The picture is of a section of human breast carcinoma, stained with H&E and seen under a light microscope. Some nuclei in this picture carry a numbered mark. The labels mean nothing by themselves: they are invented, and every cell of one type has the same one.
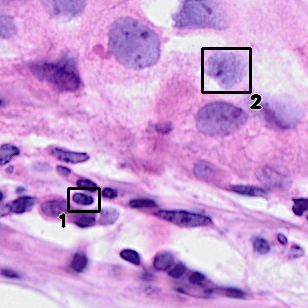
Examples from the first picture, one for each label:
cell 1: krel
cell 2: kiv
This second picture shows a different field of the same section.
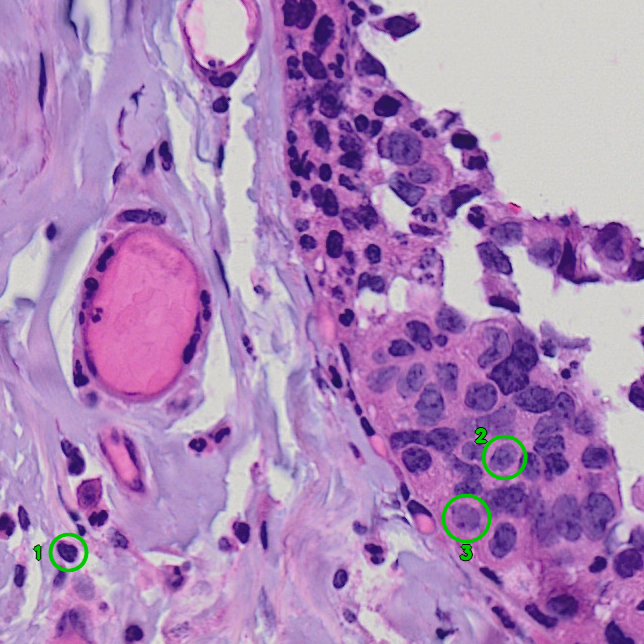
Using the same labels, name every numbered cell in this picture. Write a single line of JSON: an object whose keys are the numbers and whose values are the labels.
{"1": "krel", "2": "kiv", "3": "kiv"}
